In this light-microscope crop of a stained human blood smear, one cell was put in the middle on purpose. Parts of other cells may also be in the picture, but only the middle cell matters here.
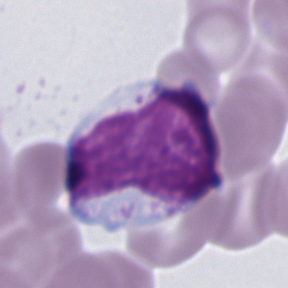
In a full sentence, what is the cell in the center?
Occupying the centre of the crop is a large granular lymphocyte.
